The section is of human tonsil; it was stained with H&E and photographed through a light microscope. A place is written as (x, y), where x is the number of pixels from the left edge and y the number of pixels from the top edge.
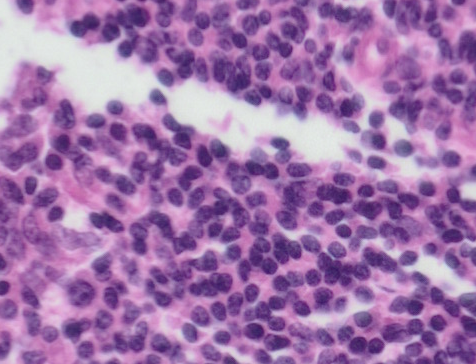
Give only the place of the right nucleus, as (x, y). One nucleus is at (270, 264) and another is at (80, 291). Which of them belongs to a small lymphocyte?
(270, 264)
